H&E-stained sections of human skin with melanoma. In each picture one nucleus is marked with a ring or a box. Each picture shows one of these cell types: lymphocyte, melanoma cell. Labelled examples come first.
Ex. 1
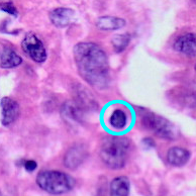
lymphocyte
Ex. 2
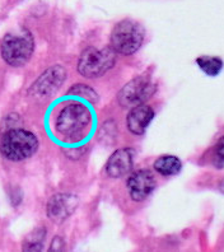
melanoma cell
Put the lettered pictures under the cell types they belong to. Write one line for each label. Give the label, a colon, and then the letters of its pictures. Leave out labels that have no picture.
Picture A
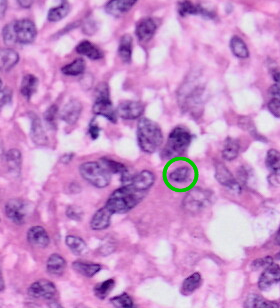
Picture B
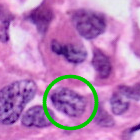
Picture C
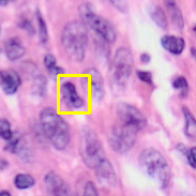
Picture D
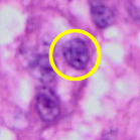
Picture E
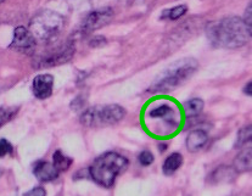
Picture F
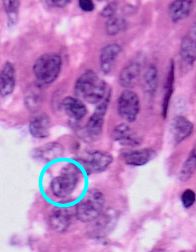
lymphocyte: C, E
melanoma cell: A, B, D, F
